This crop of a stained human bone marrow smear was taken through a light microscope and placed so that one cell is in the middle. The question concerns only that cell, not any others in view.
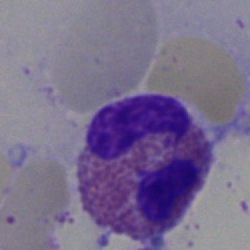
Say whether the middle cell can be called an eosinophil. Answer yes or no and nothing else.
yes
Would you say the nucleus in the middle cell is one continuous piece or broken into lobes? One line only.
This cell has a nucleus made up of two or more segments.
